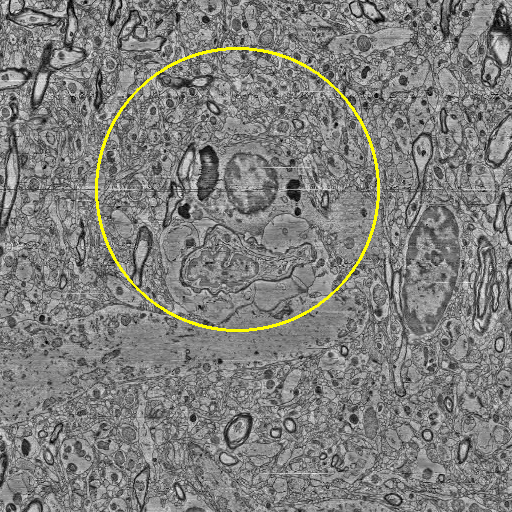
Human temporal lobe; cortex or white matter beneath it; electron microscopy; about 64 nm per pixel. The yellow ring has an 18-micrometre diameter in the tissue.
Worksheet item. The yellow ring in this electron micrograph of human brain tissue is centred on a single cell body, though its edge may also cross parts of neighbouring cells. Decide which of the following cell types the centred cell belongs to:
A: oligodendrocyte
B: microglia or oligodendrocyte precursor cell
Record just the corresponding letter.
A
